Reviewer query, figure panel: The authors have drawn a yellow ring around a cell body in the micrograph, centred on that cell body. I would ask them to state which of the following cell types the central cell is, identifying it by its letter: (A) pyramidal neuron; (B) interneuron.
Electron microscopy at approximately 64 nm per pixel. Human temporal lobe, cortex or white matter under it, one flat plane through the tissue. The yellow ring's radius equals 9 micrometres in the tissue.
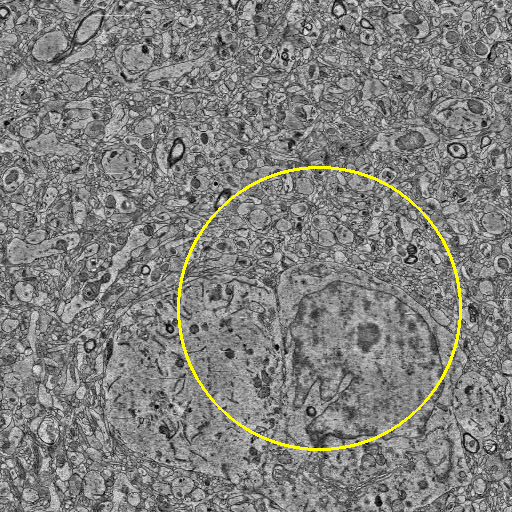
B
